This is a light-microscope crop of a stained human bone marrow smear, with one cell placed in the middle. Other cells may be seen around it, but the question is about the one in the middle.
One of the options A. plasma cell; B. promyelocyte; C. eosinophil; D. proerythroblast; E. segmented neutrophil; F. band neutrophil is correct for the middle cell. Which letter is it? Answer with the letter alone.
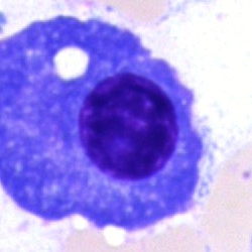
A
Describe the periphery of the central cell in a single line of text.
Instead of a smooth edge, this cell has an irregular one, ragged or with projections.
